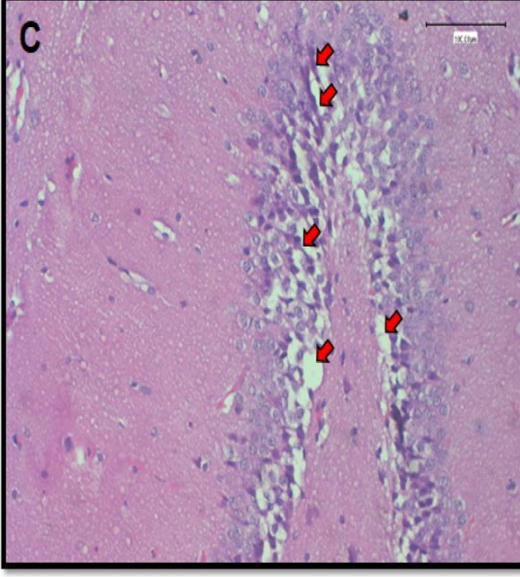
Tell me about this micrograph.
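Hippocampus with two parallel bands of densely stacked neurons running vertically through pink neuropil. Within the bands many cells are dark purple and shrunken, set among clear, empty spaces of varying size. The spaces give the bands a loosened, disrupted look, with cells separated by pale gaps rather than closely packed. Other neurons keep round, pale nuclei with visible nucleoli. The surrounding neuropil is pink and finely vacuolated, with scattered small nuclei.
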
